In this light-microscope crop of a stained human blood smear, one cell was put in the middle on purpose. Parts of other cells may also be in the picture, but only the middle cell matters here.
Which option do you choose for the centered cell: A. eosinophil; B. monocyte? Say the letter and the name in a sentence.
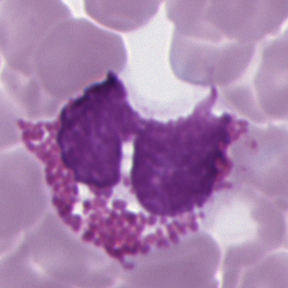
As the central cell is an eosinophil, option A is correct.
